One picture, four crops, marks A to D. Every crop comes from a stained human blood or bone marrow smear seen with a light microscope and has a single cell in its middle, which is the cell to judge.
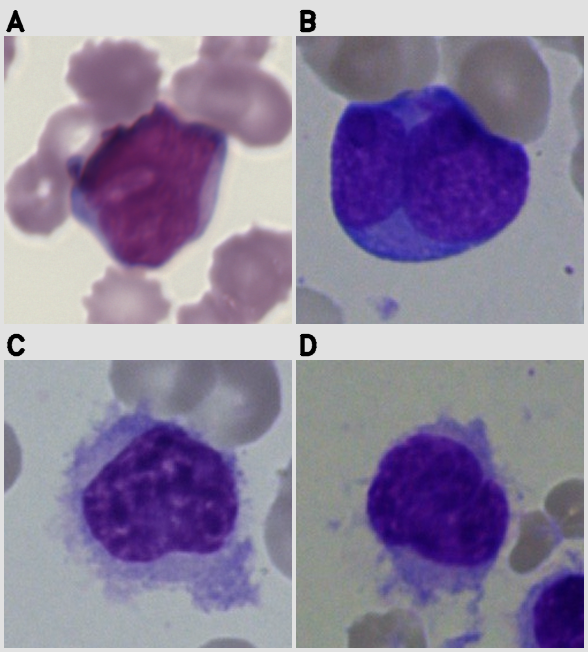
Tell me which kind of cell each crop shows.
A: blast
B: blast
C: hairy cell
D: hairy cell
